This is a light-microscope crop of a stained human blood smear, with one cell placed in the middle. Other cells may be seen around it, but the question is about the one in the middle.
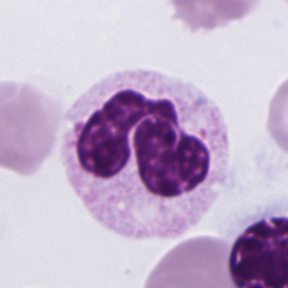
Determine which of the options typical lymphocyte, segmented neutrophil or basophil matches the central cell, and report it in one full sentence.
The middle cell in this particular crop is a segmented neutrophil.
